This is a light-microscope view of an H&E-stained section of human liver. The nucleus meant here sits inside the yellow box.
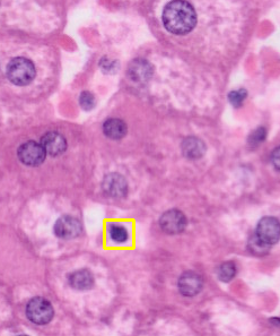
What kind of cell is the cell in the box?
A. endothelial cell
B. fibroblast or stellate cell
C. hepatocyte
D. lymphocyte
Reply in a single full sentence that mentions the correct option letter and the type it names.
It is correct to say that the cell in the box is a lymphocyte, as option D does.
